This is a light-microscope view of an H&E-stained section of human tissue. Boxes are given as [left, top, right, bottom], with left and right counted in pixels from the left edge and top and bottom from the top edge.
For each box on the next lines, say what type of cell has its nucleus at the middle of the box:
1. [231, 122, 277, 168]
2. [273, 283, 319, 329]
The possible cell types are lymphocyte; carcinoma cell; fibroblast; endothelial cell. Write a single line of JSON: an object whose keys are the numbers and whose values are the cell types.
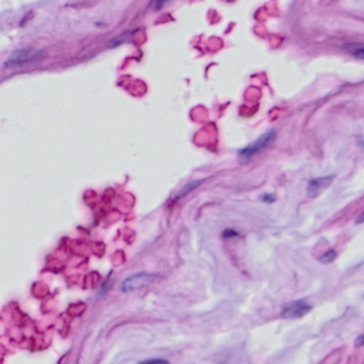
{"1": "endothelial cell", "2": "fibroblast"}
